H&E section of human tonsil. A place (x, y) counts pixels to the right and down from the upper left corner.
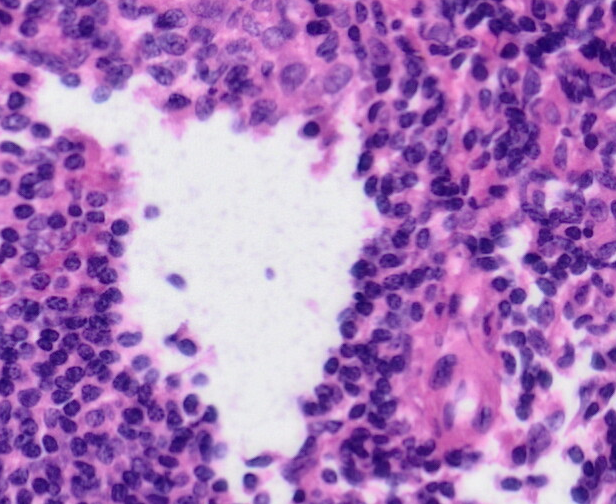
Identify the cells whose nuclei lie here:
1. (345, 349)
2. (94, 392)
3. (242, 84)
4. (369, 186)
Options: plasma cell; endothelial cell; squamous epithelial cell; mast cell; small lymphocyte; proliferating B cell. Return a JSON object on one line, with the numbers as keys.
{"1": "small lymphocyte", "2": "small lymphocyte", "3": "proliferating B cell", "4": "small lymphocyte"}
